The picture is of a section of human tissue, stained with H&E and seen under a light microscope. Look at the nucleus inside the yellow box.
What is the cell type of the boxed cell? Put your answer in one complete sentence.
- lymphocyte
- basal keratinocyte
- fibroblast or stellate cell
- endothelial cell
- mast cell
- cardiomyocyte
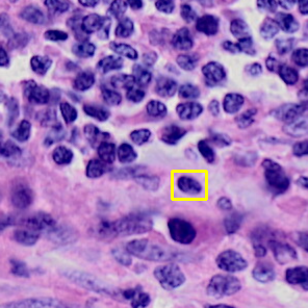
It is as a lymphocyte that the boxed cell is recorded.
